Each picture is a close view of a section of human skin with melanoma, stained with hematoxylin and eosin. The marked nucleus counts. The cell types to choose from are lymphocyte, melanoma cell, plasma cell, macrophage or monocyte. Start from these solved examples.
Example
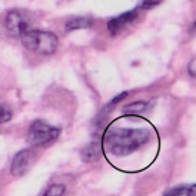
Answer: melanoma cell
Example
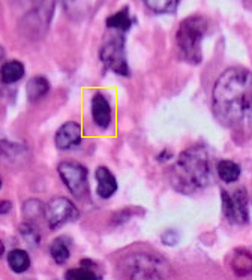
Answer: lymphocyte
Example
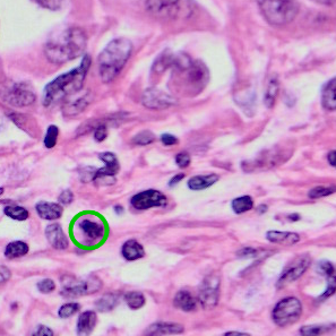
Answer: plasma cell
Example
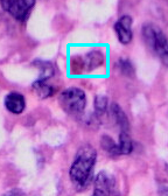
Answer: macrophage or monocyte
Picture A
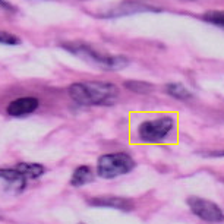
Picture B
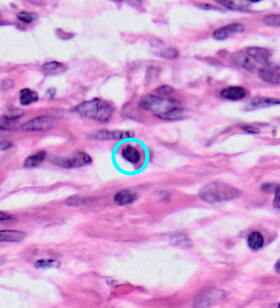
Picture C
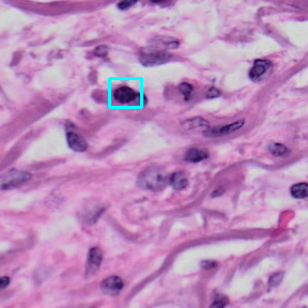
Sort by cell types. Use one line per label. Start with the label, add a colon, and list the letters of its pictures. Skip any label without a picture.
lymphocyte: A
plasma cell: B, C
